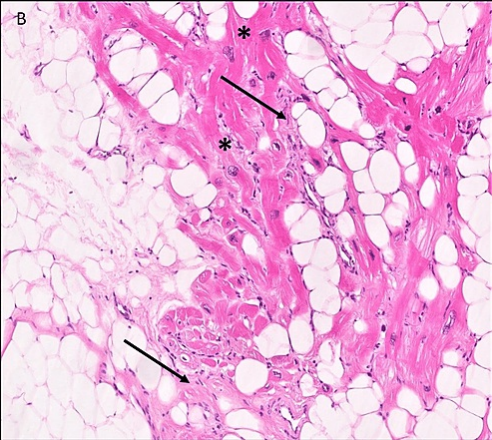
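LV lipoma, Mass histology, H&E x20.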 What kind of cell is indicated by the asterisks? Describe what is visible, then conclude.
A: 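The asterisks lie on bundles of elongated cells with deep pink cytoplasm. These cells have centrally placed oval nuclei. The pink bundles are surrounded and split by clear round fat cells.
Cardiomyocytes.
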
